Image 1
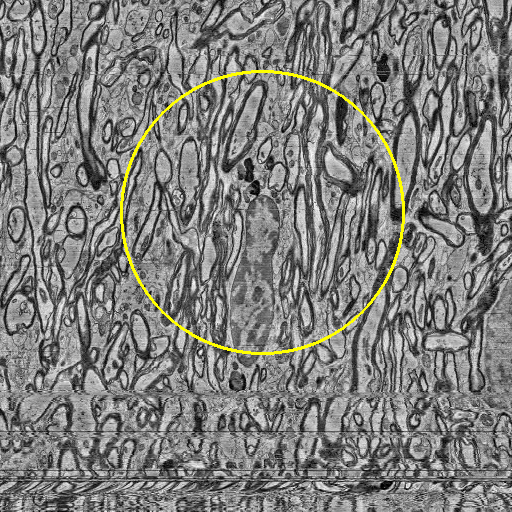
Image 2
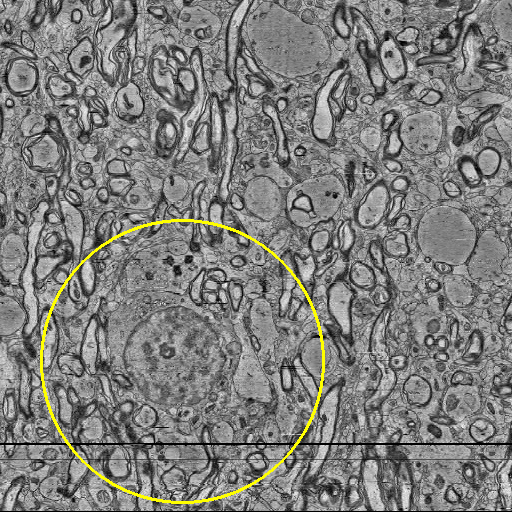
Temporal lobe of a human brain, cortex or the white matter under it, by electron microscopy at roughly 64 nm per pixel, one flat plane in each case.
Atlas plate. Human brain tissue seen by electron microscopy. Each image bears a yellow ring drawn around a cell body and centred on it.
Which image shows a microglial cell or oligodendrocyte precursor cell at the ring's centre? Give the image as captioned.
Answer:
Image 1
